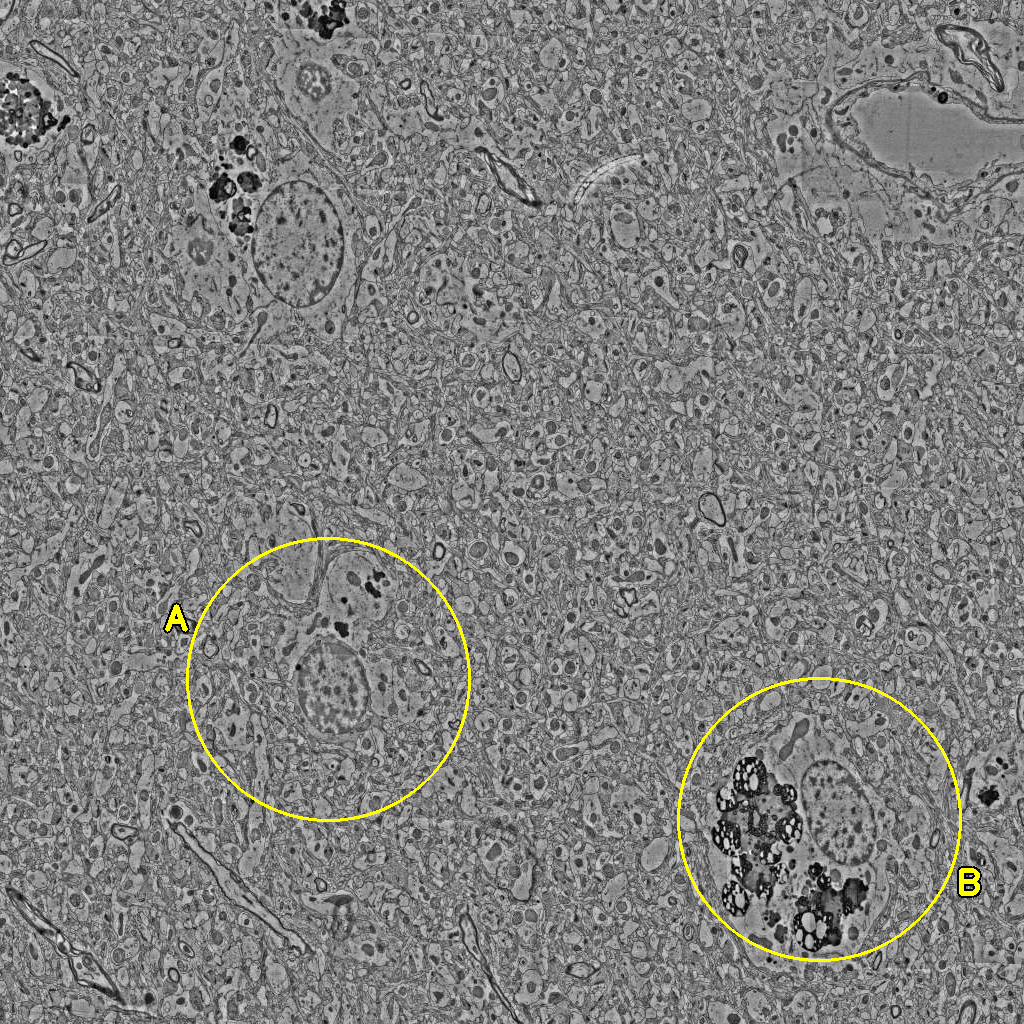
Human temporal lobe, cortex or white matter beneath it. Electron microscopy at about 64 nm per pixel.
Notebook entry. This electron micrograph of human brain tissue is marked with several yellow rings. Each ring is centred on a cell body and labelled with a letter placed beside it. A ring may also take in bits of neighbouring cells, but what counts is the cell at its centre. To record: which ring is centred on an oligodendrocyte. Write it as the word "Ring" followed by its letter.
Ring A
